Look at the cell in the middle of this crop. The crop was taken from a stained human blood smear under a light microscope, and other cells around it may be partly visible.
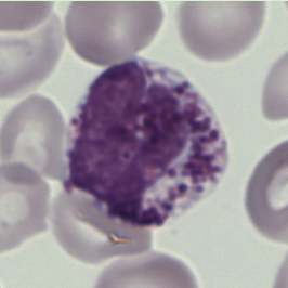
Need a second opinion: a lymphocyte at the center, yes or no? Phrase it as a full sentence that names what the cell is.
No, the label for the central cell is a basophil, not a lymphocyte.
